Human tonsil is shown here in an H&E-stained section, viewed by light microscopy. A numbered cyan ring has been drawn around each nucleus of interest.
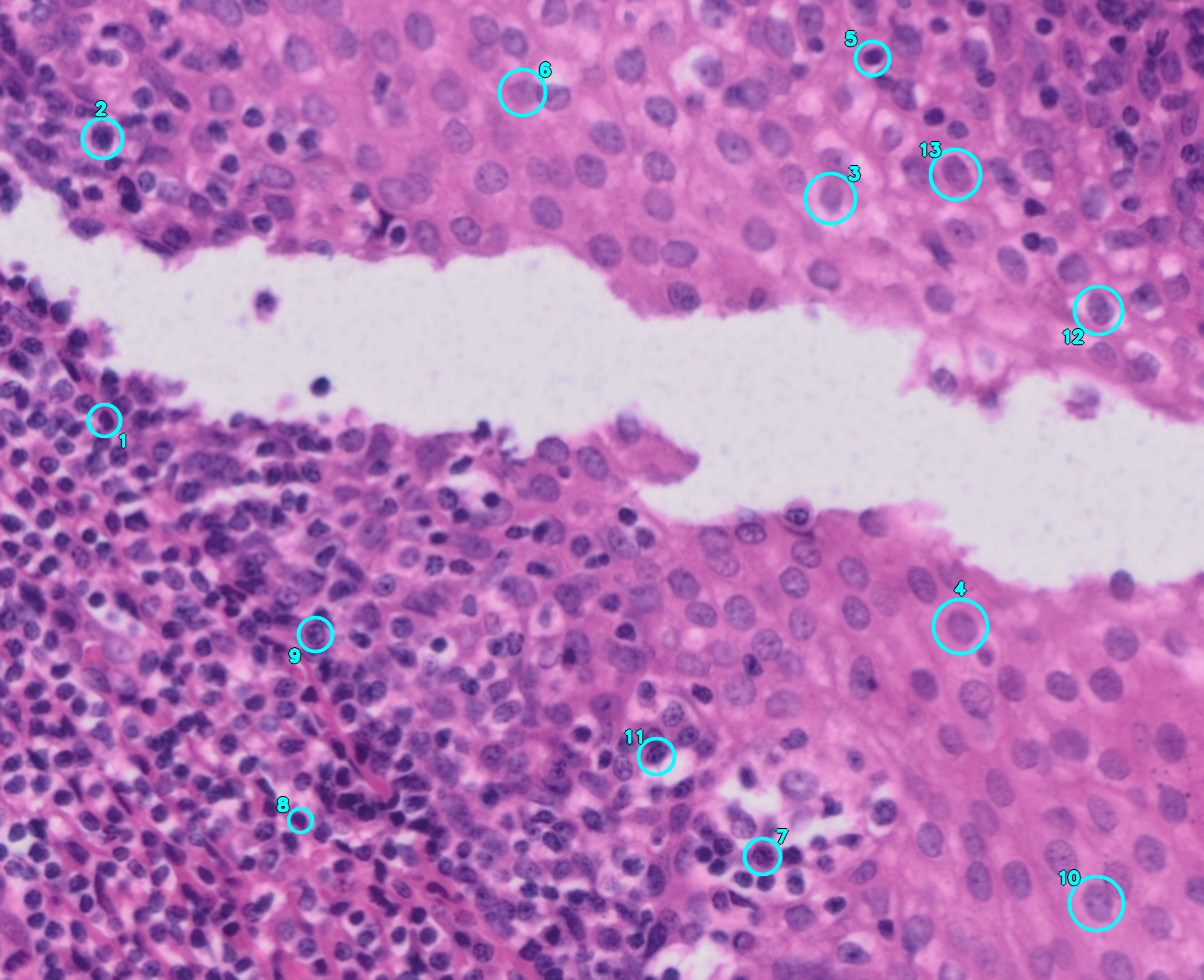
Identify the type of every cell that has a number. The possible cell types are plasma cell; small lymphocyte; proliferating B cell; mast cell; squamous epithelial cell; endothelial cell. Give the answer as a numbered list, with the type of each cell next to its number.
1. plasma cell
2. proliferating B cell
3. squamous epithelial cell
4. squamous epithelial cell
5. squamous epithelial cell
6. squamous epithelial cell
7. plasma cell
8. plasma cell
9. plasma cell
10. squamous epithelial cell
11. plasma cell
12. squamous epithelial cell
13. squamous epithelial cell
